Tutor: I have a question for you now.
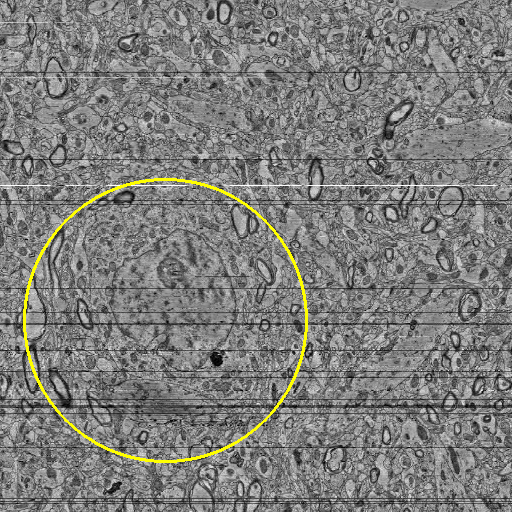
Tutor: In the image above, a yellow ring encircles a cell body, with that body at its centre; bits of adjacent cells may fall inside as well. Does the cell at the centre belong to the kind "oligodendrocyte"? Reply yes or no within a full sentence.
No, the centred cell inside the ring belongs to another kind.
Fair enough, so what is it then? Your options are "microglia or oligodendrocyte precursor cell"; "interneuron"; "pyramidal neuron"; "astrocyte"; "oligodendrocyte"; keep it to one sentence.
Instead, the picture shows an interneuron at the centre of the ring.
